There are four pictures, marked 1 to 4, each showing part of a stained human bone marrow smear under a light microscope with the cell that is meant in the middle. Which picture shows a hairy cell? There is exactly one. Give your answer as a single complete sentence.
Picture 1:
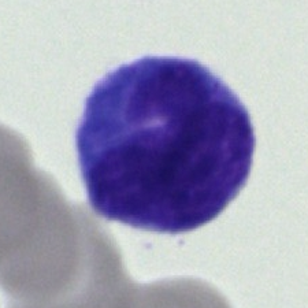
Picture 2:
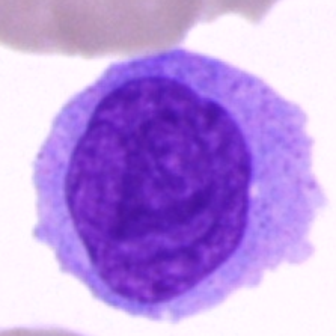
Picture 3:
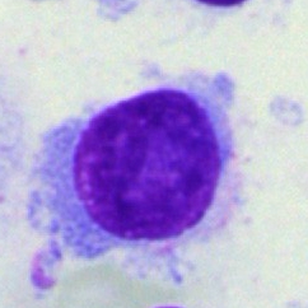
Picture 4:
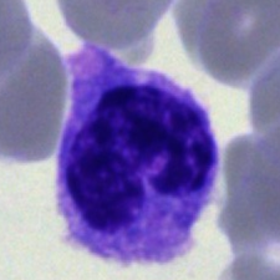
It is picture 3 that shows the hairy cell.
